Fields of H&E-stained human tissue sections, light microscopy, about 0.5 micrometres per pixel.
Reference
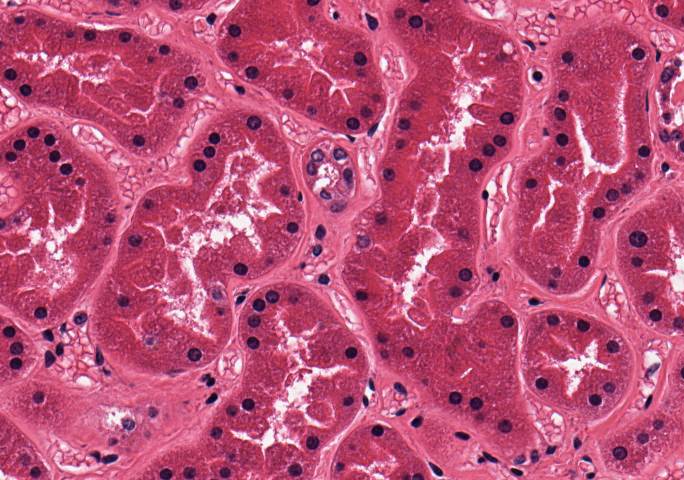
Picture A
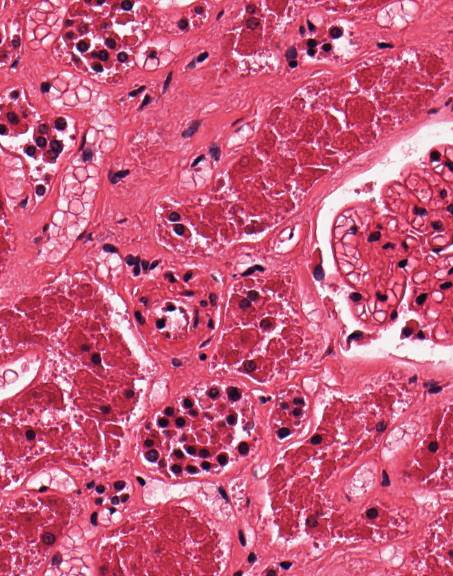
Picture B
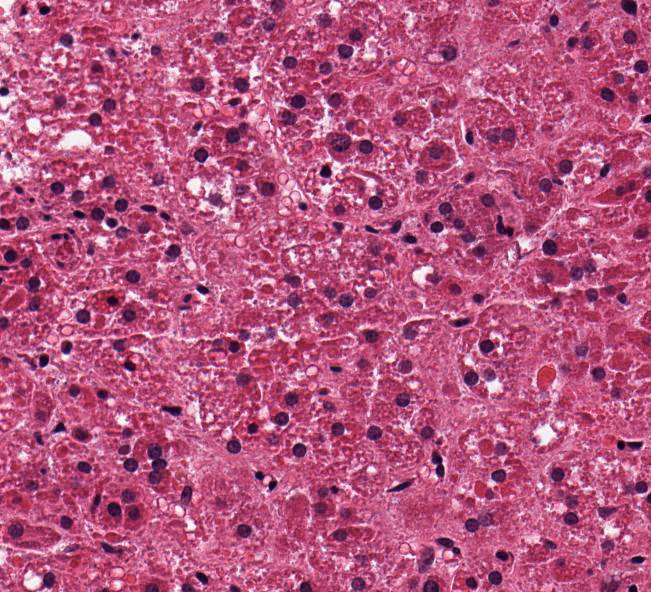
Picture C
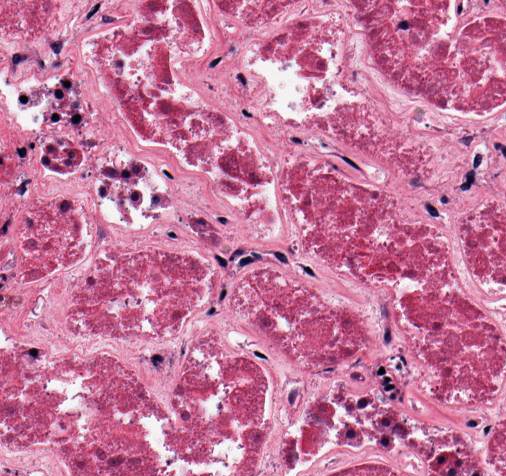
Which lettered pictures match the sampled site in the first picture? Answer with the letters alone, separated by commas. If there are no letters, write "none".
A, C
